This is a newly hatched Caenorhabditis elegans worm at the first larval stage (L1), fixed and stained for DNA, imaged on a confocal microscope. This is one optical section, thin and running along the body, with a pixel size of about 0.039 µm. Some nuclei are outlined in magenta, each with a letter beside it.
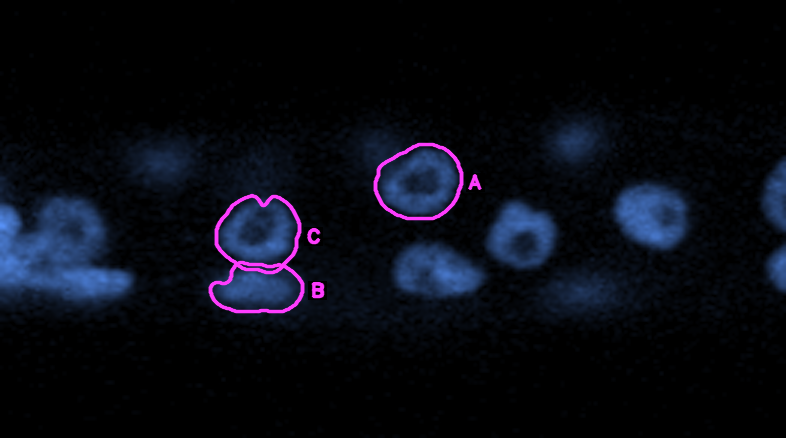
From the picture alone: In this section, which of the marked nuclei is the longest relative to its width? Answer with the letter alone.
B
